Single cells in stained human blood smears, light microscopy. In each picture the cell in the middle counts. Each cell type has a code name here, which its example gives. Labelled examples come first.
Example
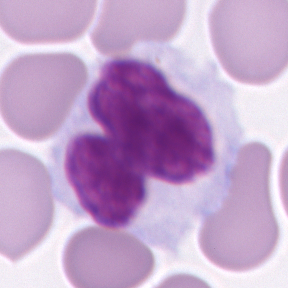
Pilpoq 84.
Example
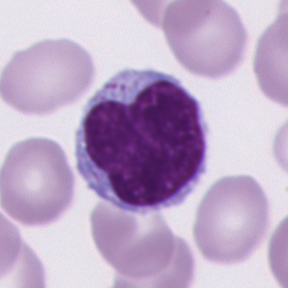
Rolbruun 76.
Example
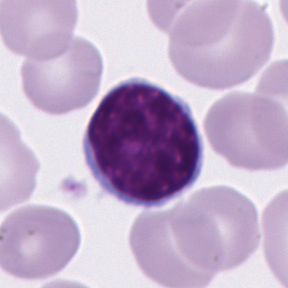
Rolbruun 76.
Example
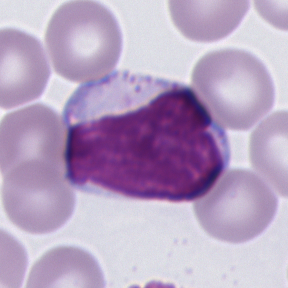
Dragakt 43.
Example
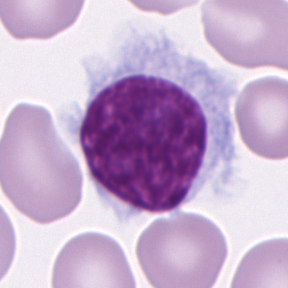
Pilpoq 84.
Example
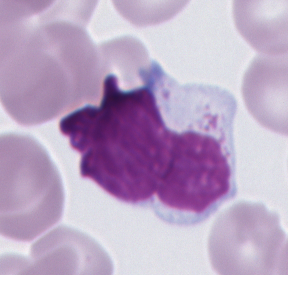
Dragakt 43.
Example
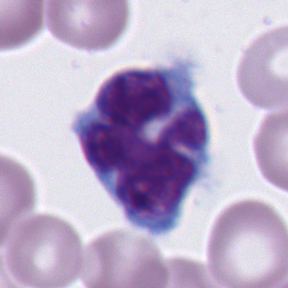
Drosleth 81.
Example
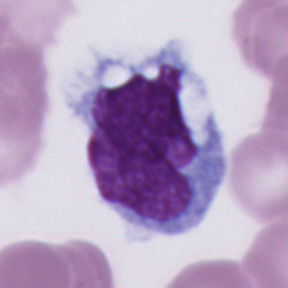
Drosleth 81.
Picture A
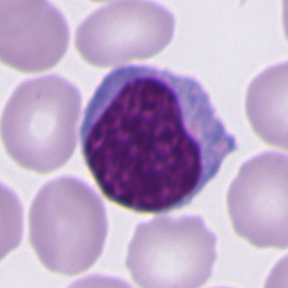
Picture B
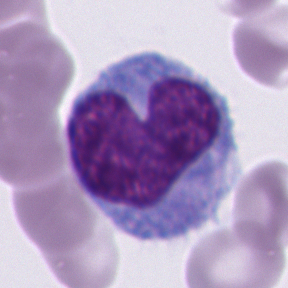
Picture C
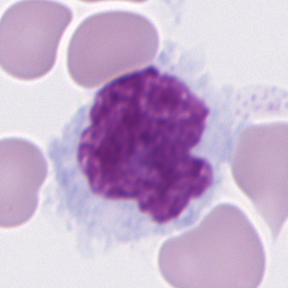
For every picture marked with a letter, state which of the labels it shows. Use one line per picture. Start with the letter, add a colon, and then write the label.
A: Rolbruun 76.
B: Drosleth 81.
C: Pilpoq 84.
